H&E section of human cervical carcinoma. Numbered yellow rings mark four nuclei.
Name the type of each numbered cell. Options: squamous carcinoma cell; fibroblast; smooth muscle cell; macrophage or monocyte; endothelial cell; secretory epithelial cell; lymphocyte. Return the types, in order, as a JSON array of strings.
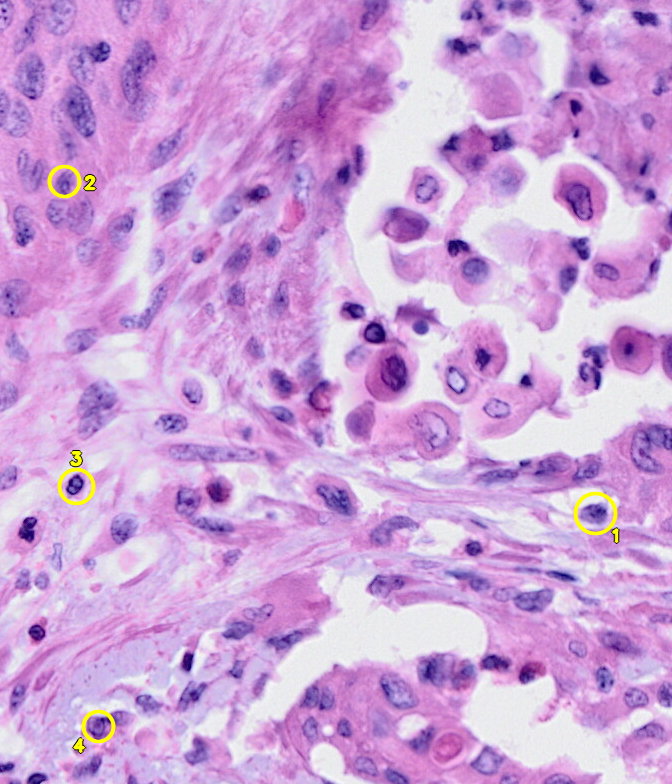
["lymphocyte", "squamous carcinoma cell", "lymphocyte", "macrophage or monocyte"]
